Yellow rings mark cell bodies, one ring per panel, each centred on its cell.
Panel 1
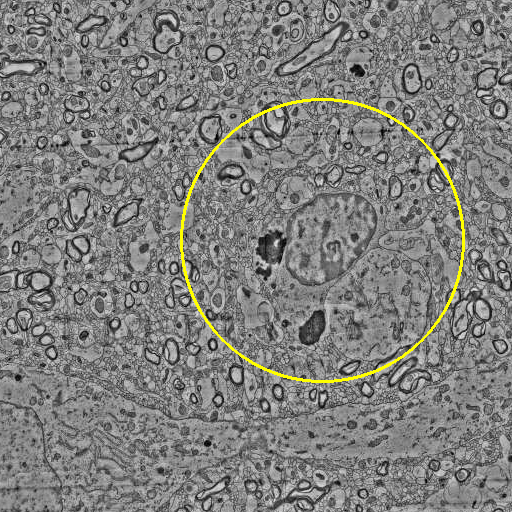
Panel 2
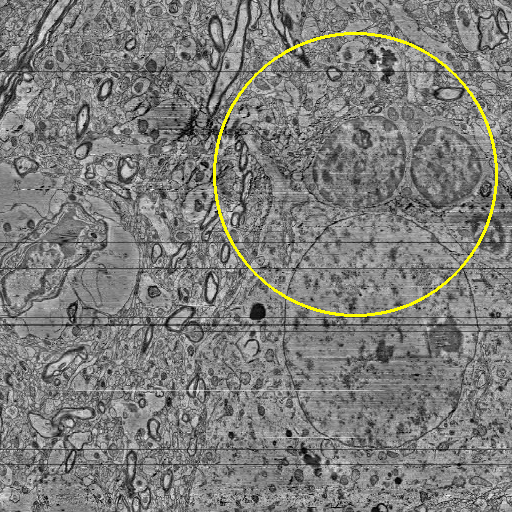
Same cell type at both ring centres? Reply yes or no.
yes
